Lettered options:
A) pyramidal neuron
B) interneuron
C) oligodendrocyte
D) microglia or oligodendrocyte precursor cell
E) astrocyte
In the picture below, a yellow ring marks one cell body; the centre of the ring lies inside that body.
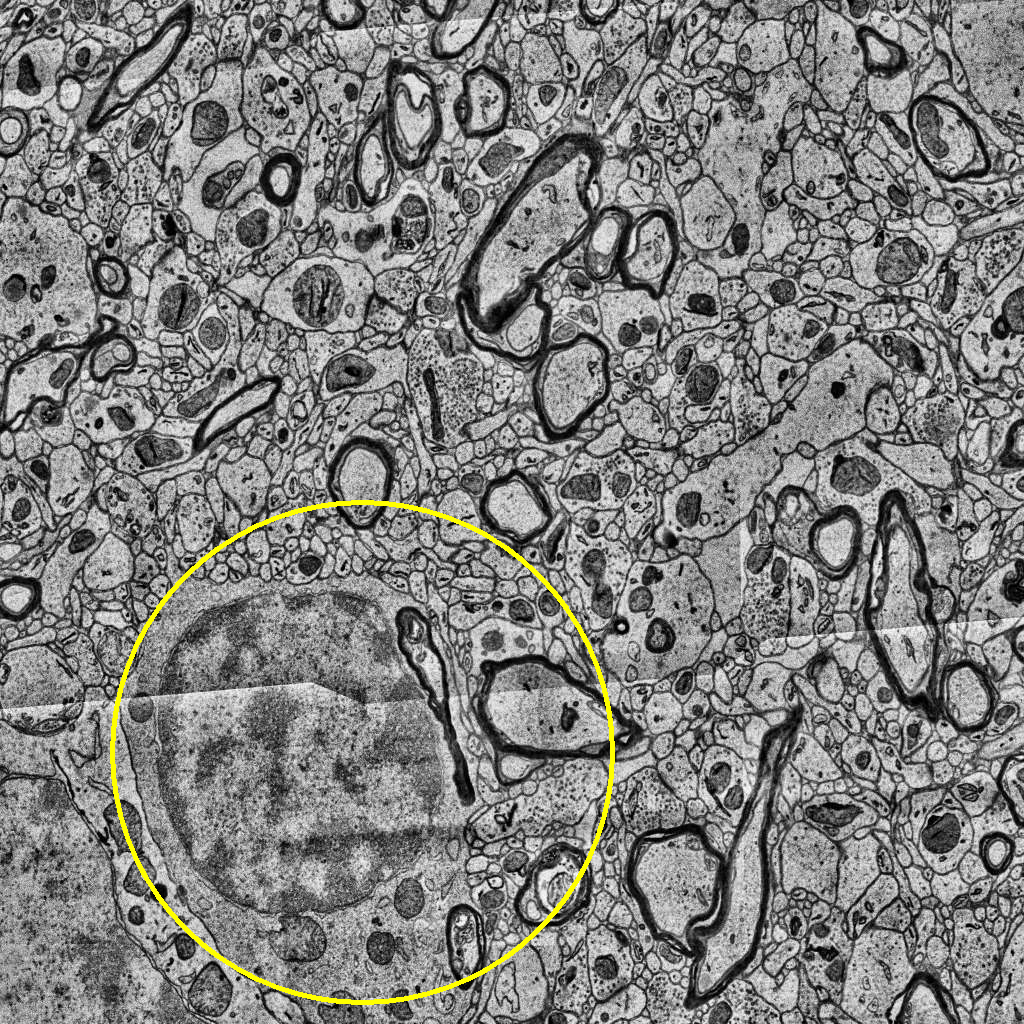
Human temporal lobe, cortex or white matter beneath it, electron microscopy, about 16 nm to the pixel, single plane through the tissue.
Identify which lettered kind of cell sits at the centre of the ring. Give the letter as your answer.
C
